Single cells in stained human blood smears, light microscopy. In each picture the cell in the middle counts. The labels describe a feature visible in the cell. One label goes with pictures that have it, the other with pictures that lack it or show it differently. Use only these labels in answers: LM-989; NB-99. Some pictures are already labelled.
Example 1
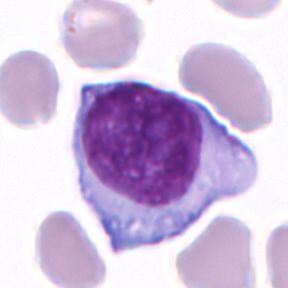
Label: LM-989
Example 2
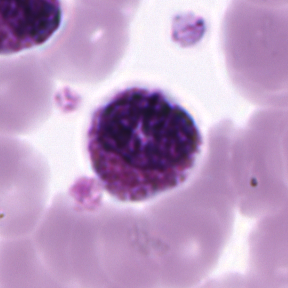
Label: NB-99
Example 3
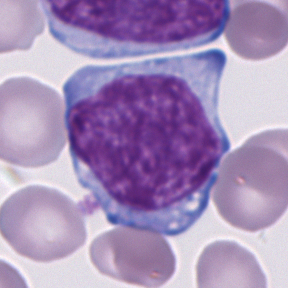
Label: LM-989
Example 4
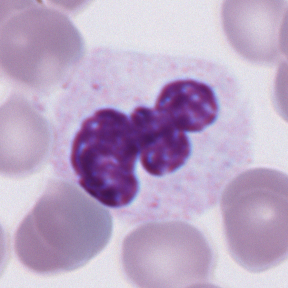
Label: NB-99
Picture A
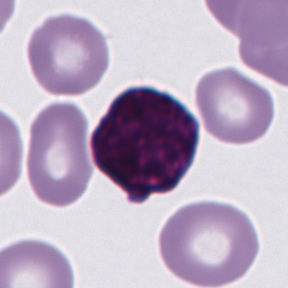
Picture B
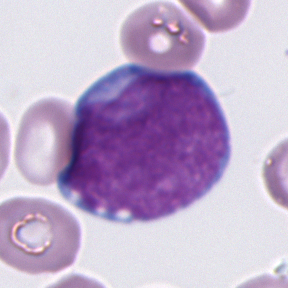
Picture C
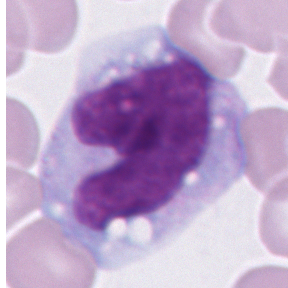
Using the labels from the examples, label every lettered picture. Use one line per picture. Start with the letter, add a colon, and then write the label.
A: NB-99
B: LM-989
C: LM-989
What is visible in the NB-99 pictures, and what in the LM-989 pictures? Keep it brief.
In NB-99: no vacuoles. In LM-989: vacuoles present.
